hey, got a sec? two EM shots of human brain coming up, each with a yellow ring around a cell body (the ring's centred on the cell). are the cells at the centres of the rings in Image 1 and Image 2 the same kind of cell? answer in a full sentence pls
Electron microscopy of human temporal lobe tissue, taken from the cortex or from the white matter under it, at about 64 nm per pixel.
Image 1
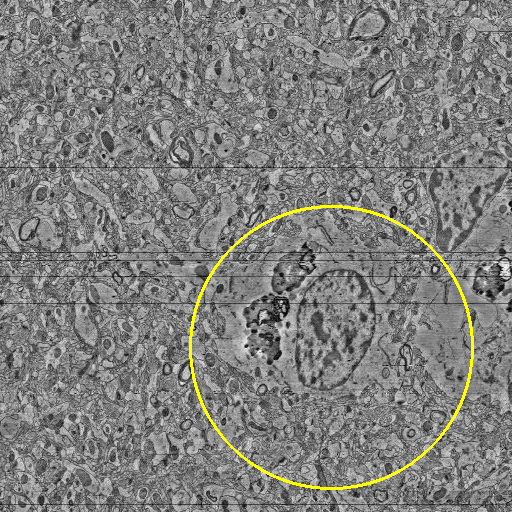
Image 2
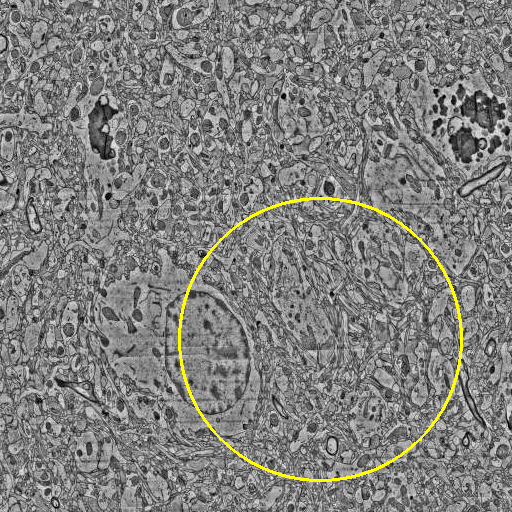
Yes, both are the same kind of cell.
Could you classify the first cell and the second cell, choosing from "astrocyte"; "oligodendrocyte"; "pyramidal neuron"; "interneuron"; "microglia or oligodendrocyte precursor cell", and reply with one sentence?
Each of the two rings surrounds an astrocyte.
